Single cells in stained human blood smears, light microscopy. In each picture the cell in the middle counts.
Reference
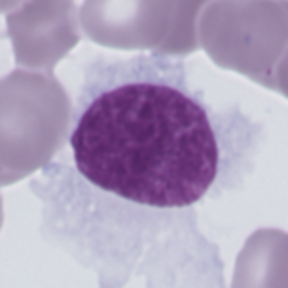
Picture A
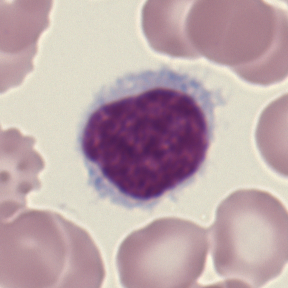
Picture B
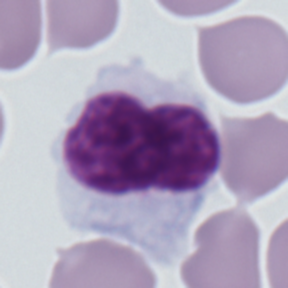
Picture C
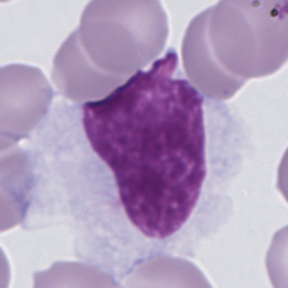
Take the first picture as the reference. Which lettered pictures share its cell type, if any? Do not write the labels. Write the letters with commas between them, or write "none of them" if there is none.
A, B, C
